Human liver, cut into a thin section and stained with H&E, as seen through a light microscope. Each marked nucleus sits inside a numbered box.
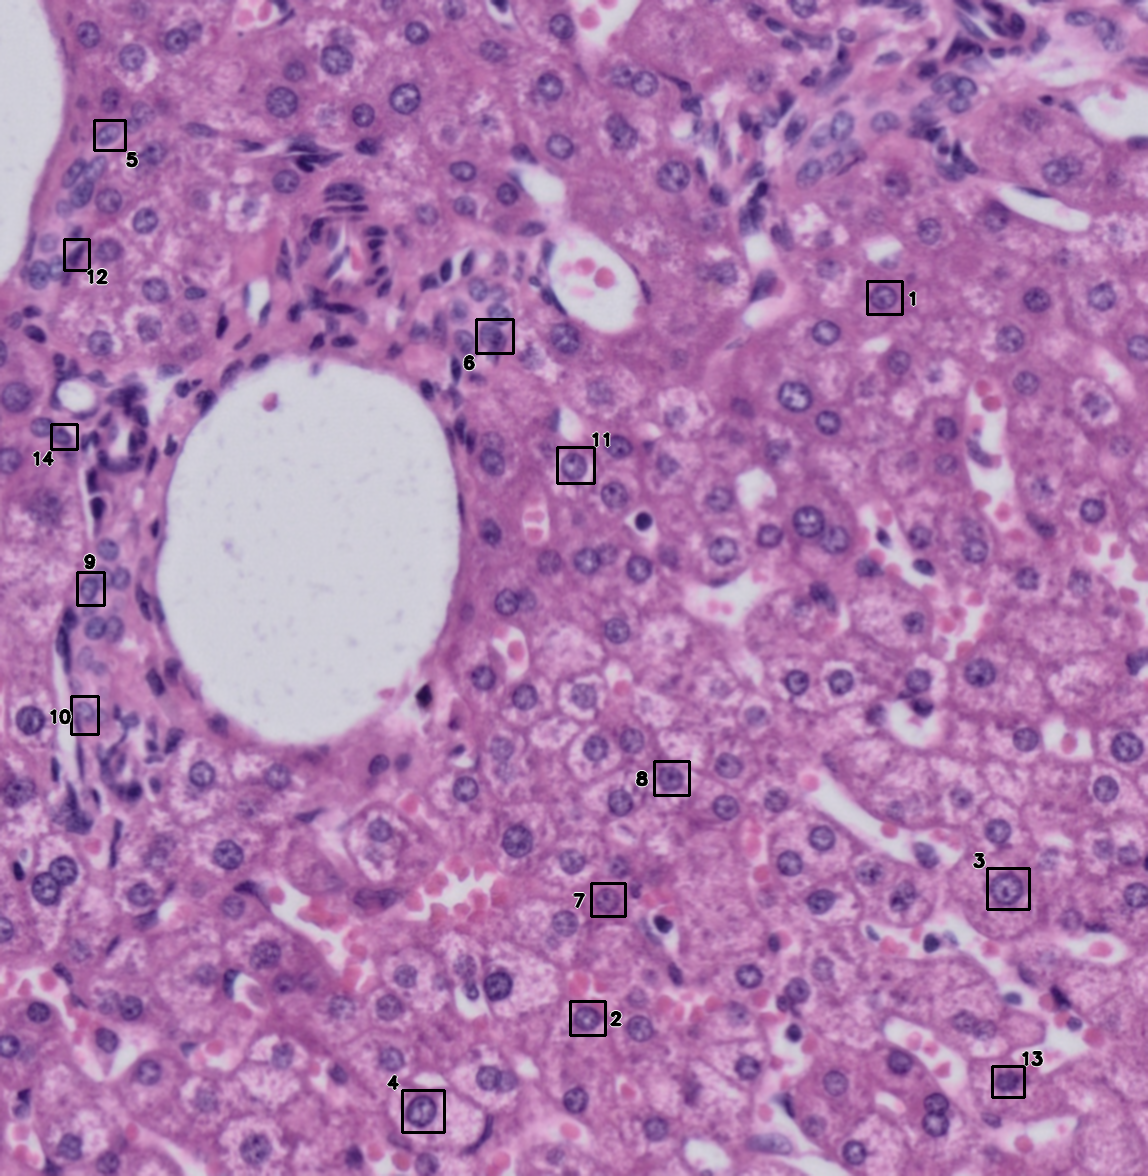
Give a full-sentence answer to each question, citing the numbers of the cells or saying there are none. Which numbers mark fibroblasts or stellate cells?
Only nucleus 12 belongs to a fibroblast or stellate cell; the other numbered nuclei do not.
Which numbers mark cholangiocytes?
The cells with numbers 5, 6, 9, 10 and 14 are cholangiocytes by type.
